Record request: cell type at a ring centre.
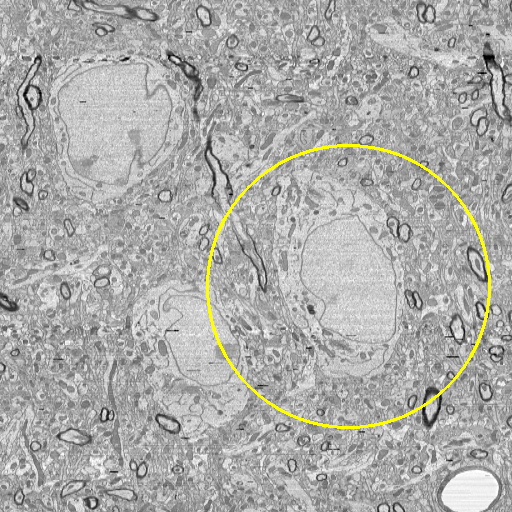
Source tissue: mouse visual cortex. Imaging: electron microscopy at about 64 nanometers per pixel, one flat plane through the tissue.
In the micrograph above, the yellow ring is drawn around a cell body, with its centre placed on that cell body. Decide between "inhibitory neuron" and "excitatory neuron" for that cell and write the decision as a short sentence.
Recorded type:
The cell centred in the yellow ring is an excitatory neuron.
